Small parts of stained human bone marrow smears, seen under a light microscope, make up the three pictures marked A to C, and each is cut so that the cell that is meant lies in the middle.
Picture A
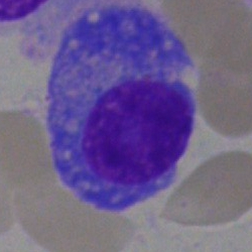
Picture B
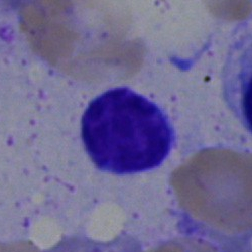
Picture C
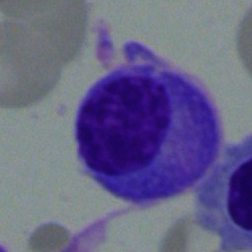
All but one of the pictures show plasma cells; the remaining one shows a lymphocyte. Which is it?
B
